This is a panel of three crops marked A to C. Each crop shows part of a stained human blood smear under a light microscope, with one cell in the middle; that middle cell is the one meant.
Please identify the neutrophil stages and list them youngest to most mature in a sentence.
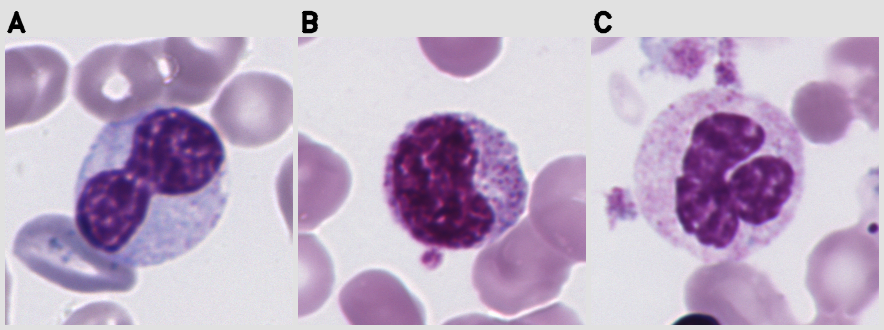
Sequenced by maturity from least to most, the crops are crop B (a metamyelocyte), crop A (a band neutrophil) and crop C (a segmented neutrophil).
